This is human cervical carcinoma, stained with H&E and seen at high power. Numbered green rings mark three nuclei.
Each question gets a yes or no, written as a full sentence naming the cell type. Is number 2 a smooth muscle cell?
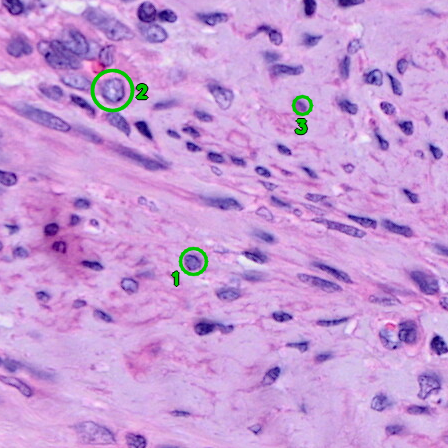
No, the correct answer for cell 2 is an endothelial cell, not a smooth muscle cell.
